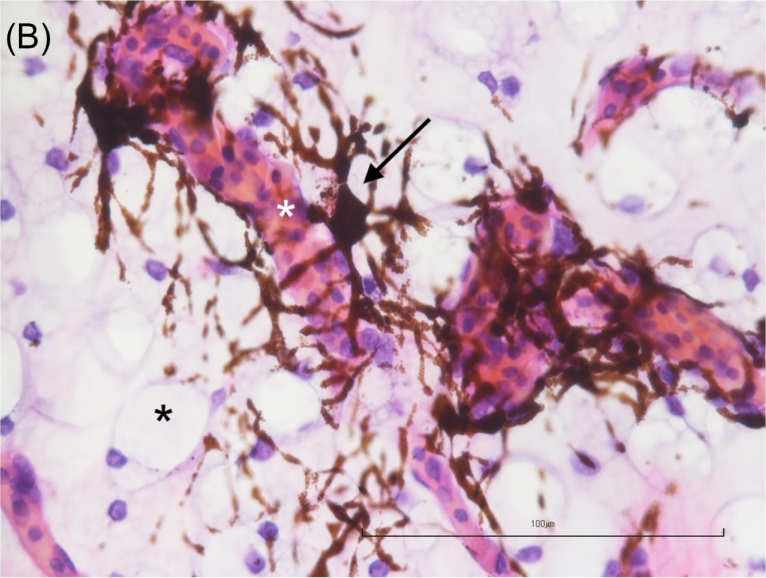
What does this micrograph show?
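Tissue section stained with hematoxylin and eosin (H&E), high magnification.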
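Pink tubular cords of cells with oval purple nuclei run across the field, and densely brown-black branched cells sit on and around them, sending long dendritic processes outward into the surroundings. The pale clear cells are mature fat cells, the pink cords are small blood vessels, and the branched pigment-laden cells are chromatophores clustered around the vessels.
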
